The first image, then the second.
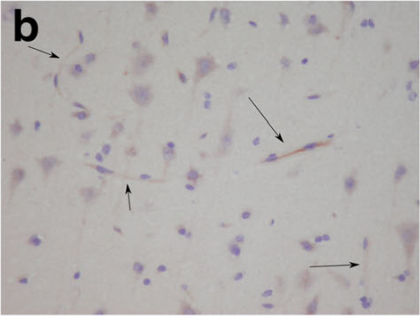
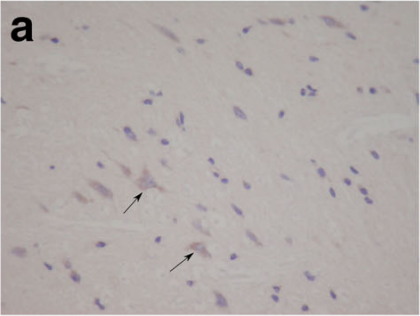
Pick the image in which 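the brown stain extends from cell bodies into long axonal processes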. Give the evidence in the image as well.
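The first image. First image: several long thin brown-stained processes run from cell bodies.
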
